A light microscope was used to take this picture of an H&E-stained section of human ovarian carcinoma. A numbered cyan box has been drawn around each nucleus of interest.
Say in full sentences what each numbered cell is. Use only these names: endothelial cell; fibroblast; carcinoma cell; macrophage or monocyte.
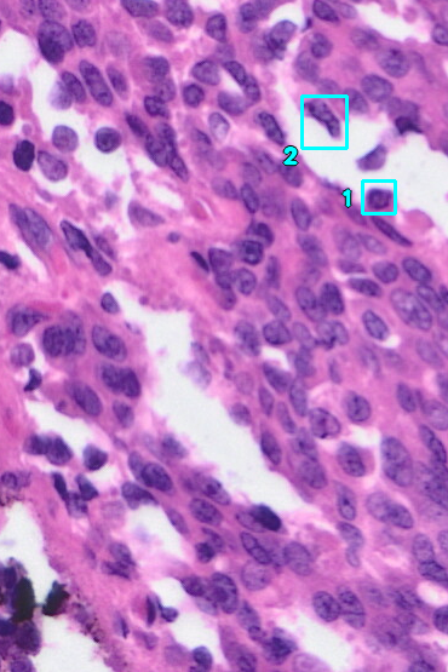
Cell 1 is a carcinoma cell. Cell 2 is a macrophage or monocyte.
